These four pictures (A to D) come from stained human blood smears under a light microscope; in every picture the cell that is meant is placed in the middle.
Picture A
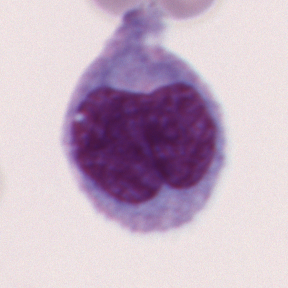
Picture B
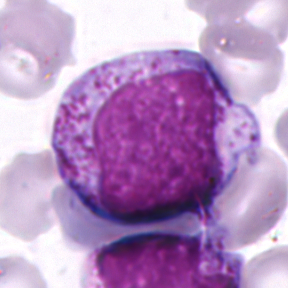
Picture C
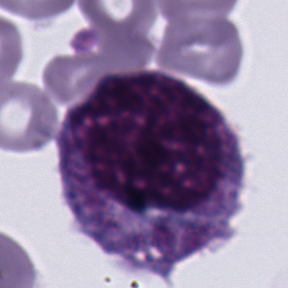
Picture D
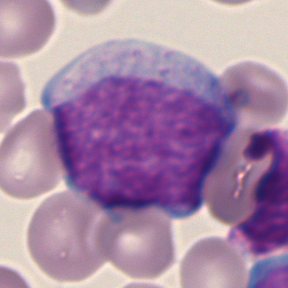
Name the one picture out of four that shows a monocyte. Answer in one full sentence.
It is picture A that shows the monocyte.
